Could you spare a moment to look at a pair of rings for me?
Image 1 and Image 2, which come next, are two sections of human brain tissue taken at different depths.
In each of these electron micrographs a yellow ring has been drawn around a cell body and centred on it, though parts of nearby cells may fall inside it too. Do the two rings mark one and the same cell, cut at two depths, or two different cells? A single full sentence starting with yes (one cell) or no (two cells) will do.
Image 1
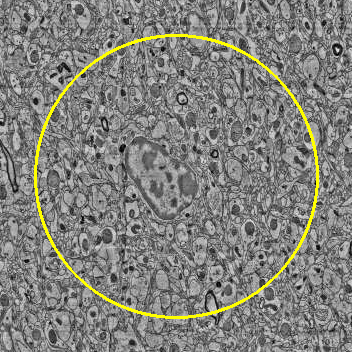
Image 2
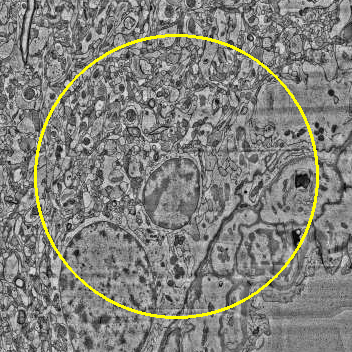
No, marked by the two rings are two different cells.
